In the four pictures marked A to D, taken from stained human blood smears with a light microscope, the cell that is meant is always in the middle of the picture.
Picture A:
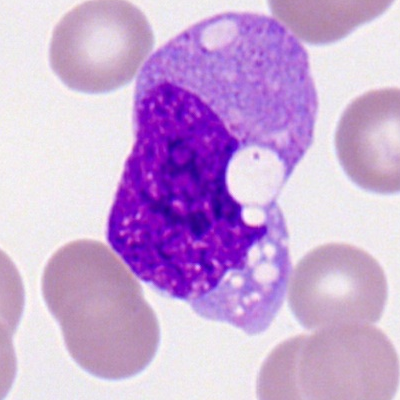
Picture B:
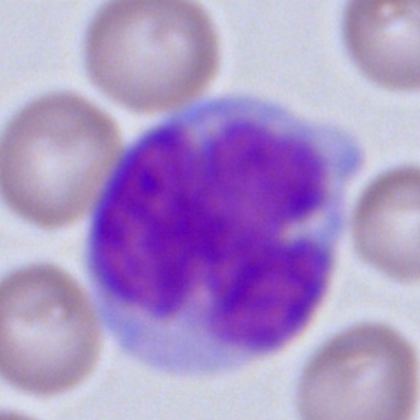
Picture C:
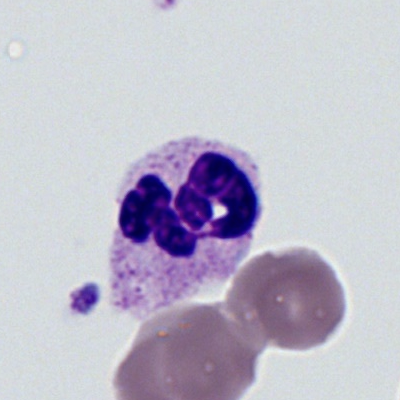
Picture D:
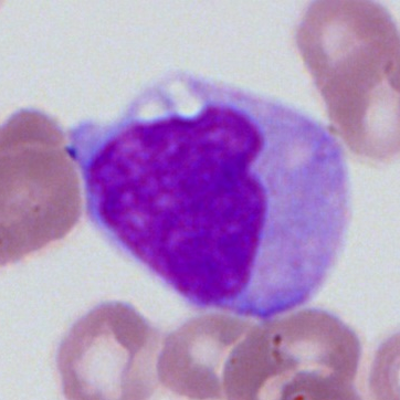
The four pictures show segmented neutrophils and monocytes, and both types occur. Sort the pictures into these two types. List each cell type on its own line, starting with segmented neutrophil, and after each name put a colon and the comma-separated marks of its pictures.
segmented neutrophil: C
monocyte: A, B, D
